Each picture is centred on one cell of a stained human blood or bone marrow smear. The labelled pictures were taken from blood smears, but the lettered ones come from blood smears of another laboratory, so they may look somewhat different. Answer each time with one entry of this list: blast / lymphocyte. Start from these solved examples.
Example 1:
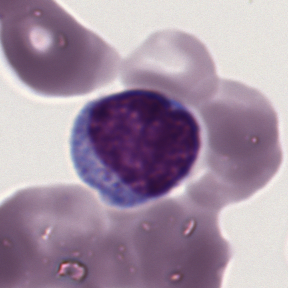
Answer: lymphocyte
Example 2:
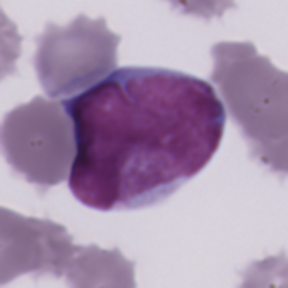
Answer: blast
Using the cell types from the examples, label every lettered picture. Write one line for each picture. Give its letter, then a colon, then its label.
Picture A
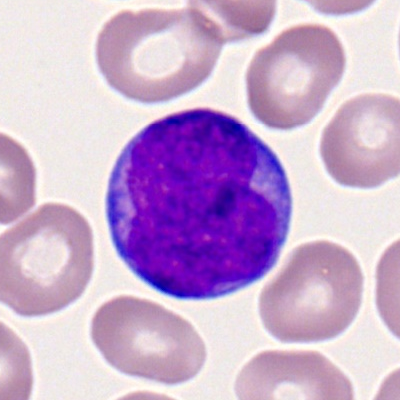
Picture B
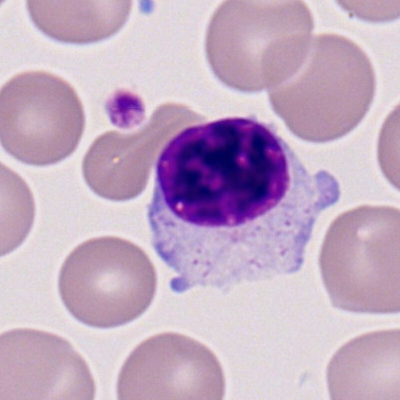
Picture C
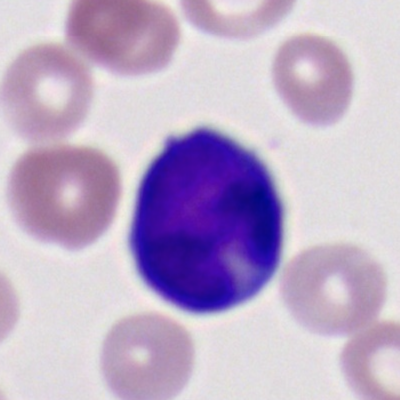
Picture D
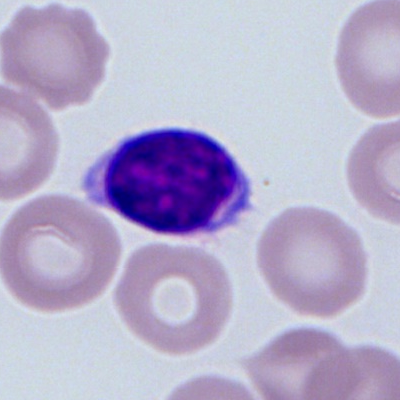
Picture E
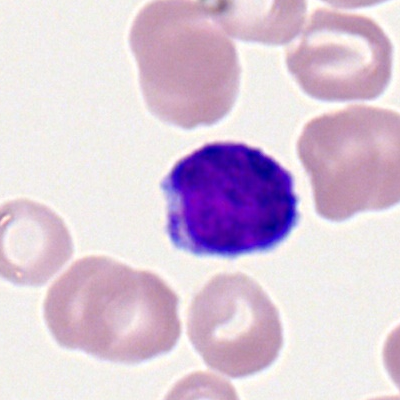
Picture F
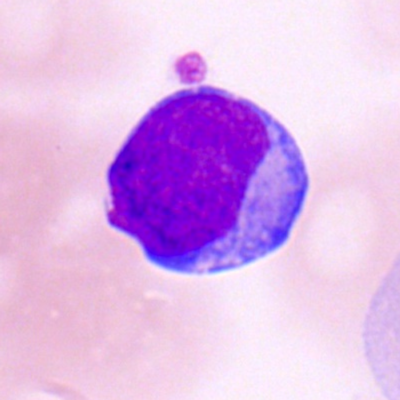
A: blast
B: lymphocyte
C: blast
D: lymphocyte
E: lymphocyte
F: blast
